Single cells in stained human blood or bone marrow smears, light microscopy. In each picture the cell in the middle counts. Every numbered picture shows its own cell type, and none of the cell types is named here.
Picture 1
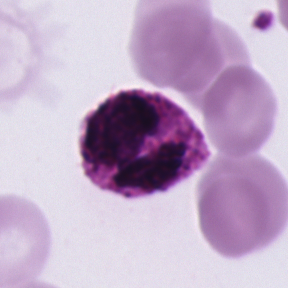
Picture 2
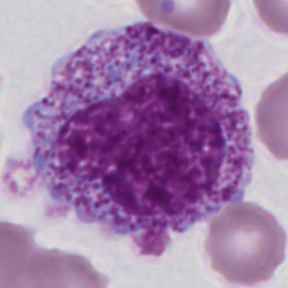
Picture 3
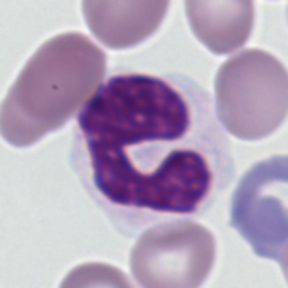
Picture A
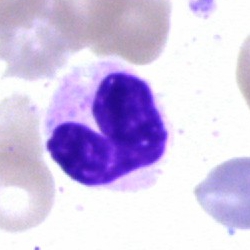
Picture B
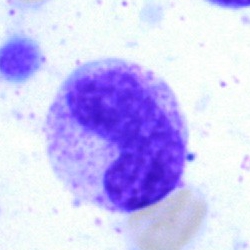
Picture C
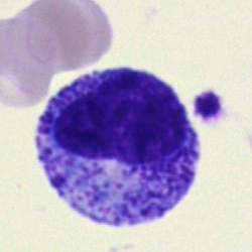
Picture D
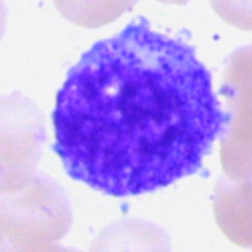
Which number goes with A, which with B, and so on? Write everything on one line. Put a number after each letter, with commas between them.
A 3, B 3, C 2, D 2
